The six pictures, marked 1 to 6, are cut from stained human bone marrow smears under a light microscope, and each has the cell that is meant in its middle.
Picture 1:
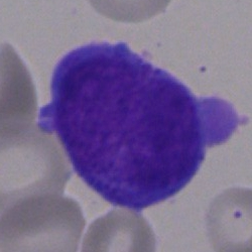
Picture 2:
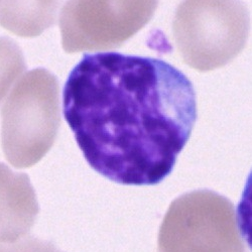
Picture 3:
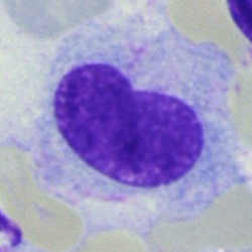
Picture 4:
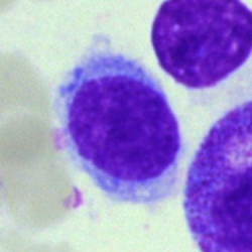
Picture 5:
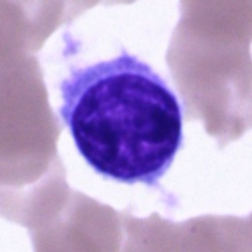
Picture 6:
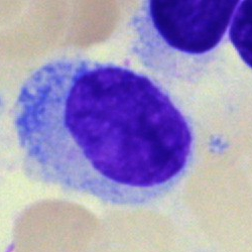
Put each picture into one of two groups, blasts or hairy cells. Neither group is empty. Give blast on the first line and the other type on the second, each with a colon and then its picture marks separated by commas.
blast: 1, 2
hairy cell: 3, 4, 5, 6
